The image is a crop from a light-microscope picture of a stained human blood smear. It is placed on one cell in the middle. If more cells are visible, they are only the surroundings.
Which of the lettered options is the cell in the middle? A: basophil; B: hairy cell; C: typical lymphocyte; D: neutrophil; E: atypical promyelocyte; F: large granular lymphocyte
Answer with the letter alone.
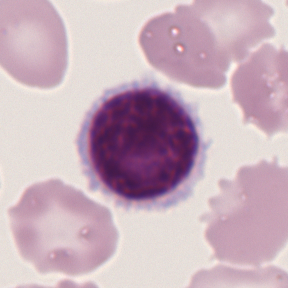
B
